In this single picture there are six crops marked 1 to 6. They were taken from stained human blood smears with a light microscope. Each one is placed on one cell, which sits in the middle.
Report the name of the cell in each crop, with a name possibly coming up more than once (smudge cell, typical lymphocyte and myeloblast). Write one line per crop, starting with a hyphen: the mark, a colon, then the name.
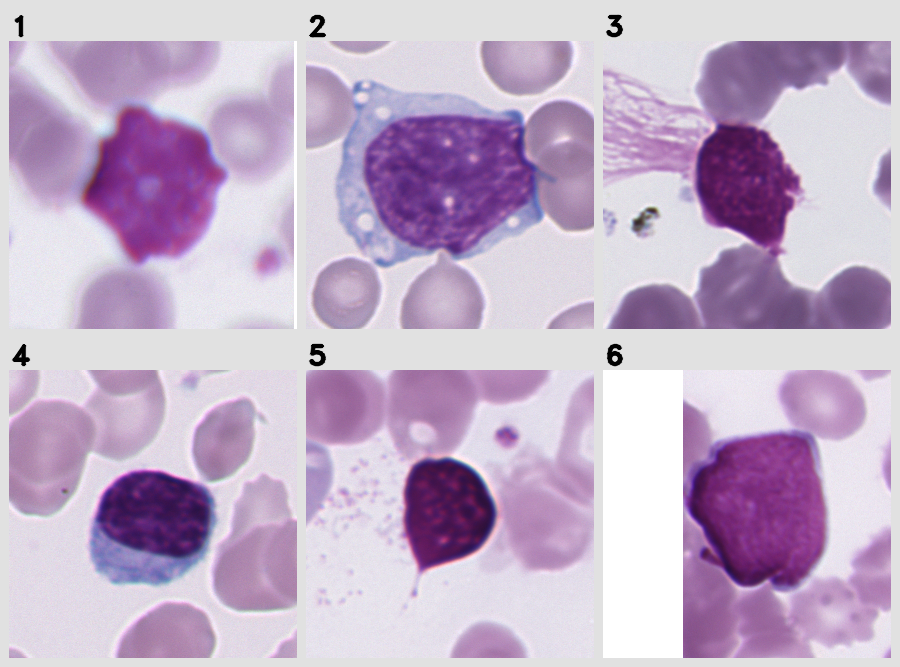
- 1: smudge cell
- 2: myeloblast
- 3: smudge cell
- 4: typical lymphocyte
- 5: smudge cell
- 6: myeloblast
